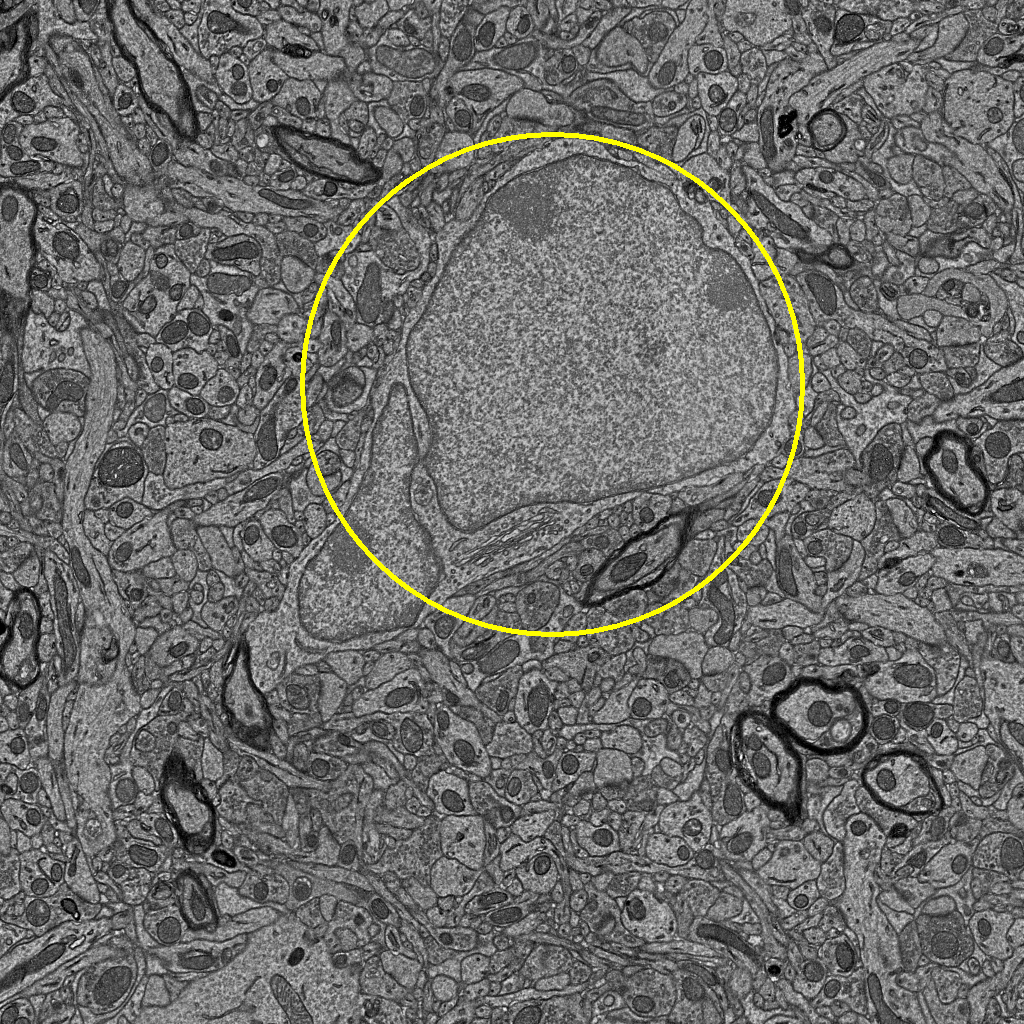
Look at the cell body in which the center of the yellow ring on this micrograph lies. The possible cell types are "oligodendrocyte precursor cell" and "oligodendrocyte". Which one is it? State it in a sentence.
The cell at the middle of the ring is an oligodendrocyte precursor cell.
